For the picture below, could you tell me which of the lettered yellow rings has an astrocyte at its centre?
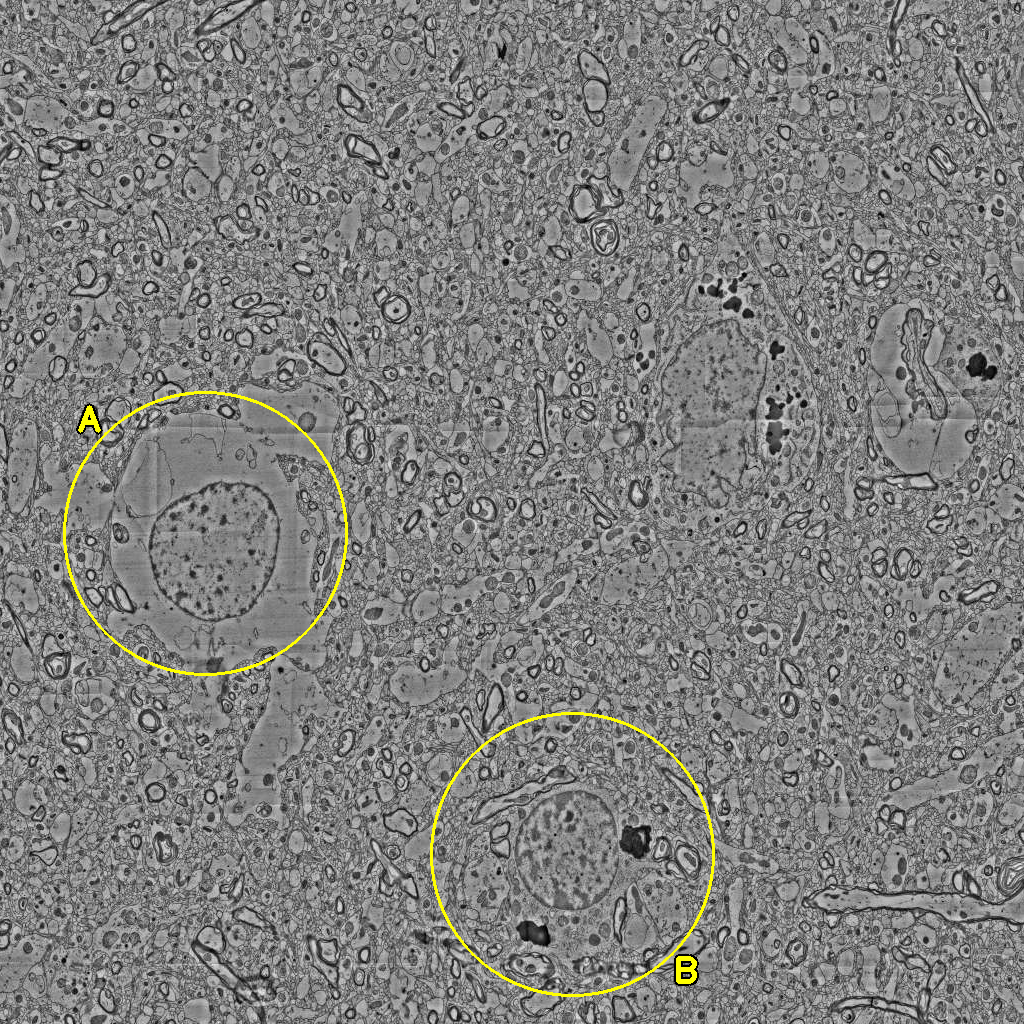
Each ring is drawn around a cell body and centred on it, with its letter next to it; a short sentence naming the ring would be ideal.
Ring A is centred on it.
